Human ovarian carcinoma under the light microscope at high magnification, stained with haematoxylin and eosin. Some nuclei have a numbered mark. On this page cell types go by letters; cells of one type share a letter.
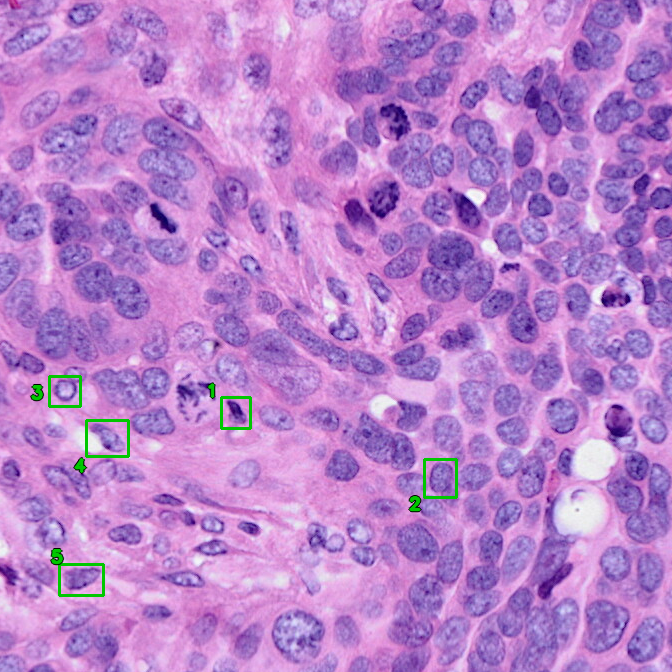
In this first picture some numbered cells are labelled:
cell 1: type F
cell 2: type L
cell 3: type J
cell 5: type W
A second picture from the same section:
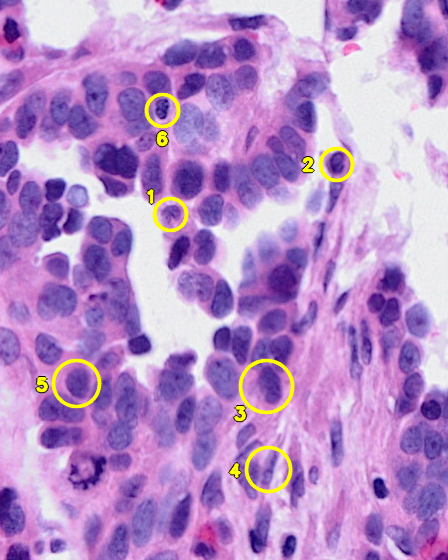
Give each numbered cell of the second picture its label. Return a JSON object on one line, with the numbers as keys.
{"1": "type W", "2": "type W", "3": "type L", "4": "type J", "5": "type L", "6": "type F"}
